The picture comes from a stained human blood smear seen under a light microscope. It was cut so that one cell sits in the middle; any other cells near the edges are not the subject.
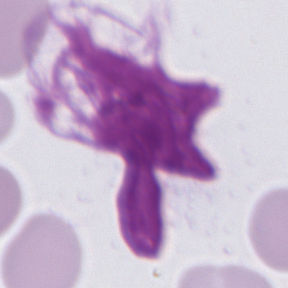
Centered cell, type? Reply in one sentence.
The centrally placed cell is classified as a smudge cell.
